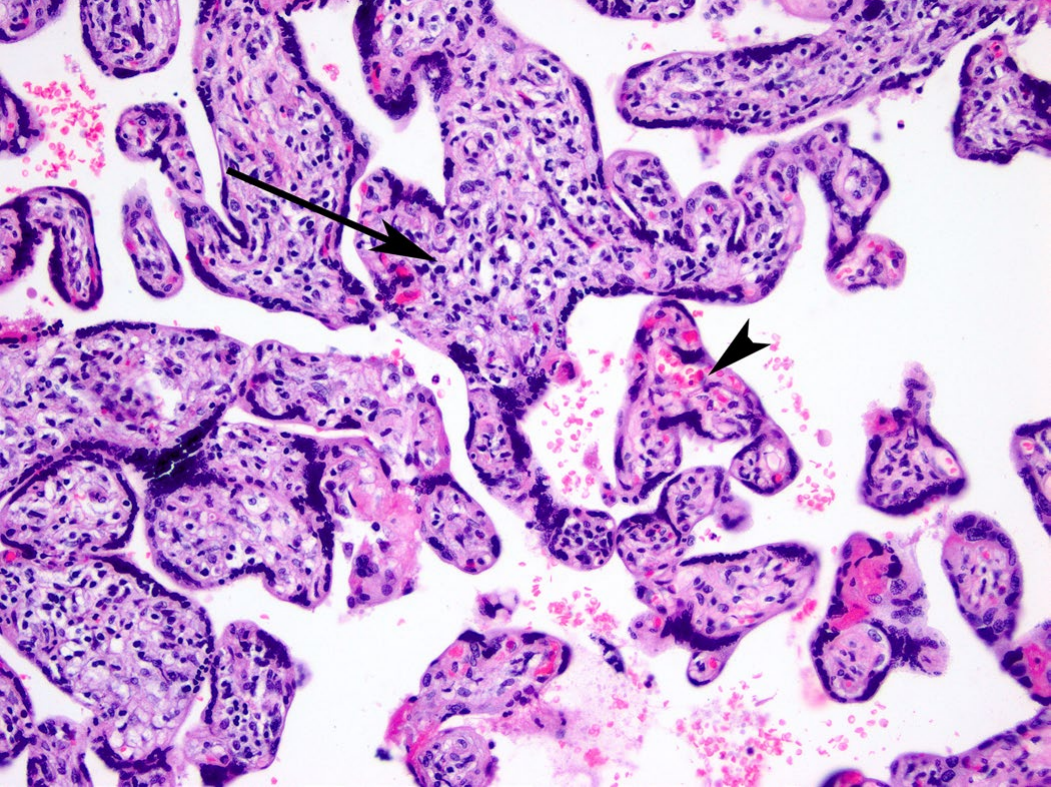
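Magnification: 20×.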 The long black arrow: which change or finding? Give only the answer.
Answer: Chronic villitis.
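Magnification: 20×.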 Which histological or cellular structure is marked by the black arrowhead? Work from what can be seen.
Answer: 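The small villus at the arrowhead has a looser, less cellular stroma. It contains capillaries filled with red blood cells. It is covered by a thin layer of trophoblast with dark nuclei.
Non-inflamed villous.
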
